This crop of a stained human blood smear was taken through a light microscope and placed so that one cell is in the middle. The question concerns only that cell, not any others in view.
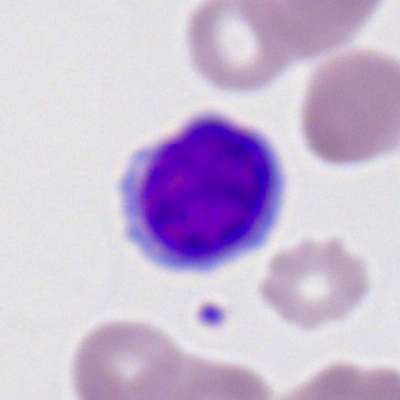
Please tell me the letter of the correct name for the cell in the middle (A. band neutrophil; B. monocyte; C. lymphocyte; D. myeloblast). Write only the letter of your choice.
C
